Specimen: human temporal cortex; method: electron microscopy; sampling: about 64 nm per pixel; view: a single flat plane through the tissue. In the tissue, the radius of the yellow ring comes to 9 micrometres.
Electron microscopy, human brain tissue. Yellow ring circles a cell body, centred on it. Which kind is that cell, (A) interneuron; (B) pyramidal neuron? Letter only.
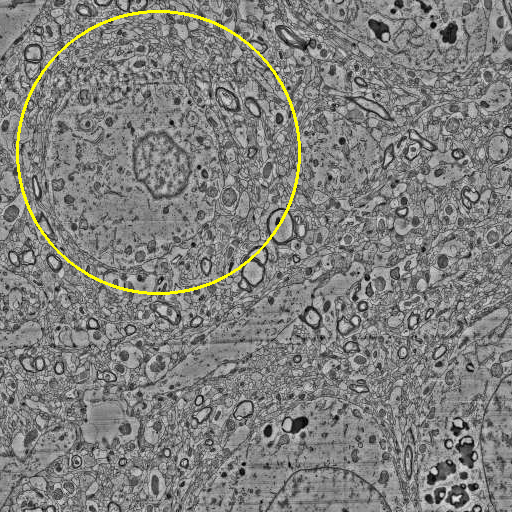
B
